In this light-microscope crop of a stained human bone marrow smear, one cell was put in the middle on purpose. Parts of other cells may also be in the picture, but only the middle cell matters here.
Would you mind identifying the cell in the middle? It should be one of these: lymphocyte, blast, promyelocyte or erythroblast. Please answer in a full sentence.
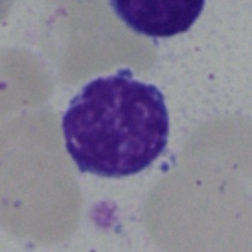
The cell at the centre of the field is a lymphocyte.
